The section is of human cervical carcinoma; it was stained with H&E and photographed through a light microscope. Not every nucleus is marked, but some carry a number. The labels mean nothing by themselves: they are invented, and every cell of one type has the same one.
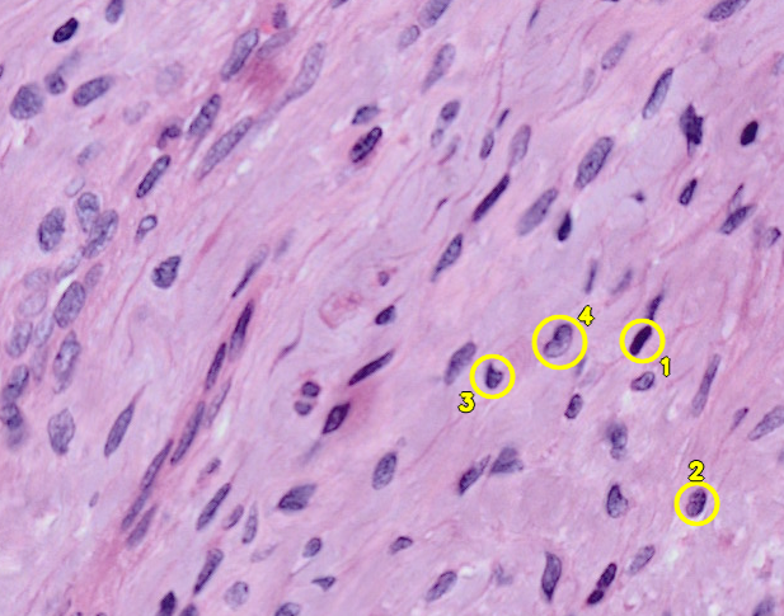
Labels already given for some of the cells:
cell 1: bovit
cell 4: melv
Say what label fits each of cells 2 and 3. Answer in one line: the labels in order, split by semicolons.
bovit; melv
